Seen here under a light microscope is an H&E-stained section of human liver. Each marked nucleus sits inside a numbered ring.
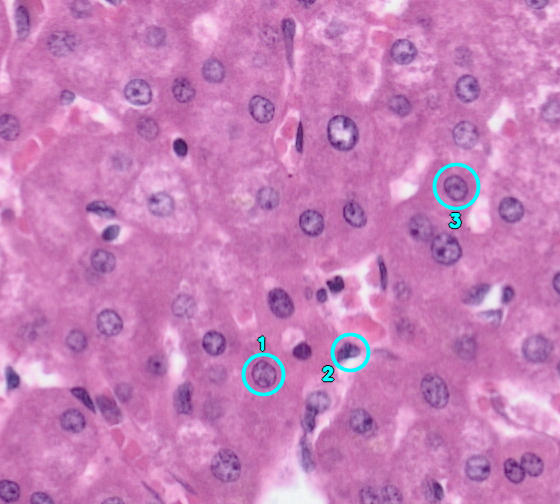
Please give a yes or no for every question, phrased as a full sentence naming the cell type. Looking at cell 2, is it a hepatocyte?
No, the cell labelled 2 is a fibroblast or stellate cell and not a hepatocyte.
